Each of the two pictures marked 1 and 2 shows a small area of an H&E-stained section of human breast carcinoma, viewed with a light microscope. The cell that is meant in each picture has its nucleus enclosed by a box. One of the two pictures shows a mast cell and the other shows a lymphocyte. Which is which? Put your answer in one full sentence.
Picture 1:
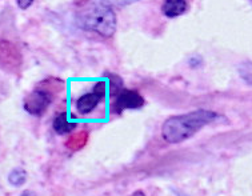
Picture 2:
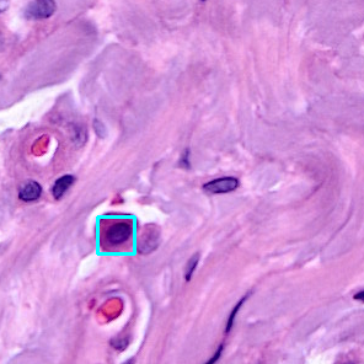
The cell in picture 1 is a lymphocyte, and the one in picture 2 is a mast cell.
